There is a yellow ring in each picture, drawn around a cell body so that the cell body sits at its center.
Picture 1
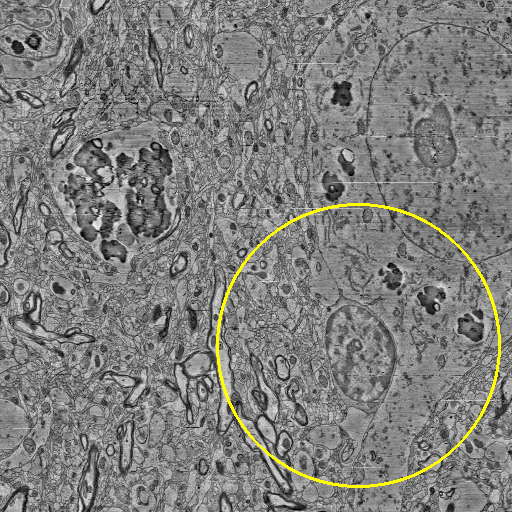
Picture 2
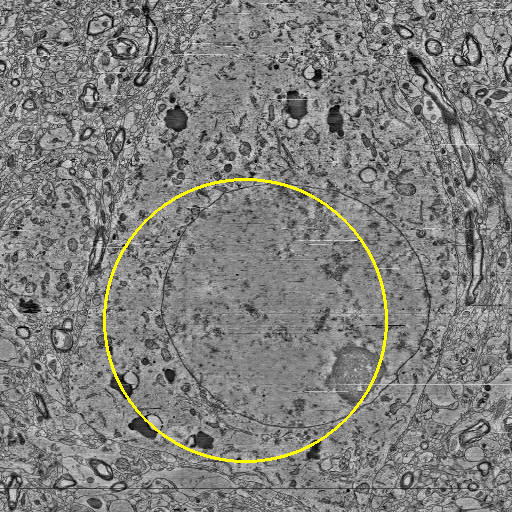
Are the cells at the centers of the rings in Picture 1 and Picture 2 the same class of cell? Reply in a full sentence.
No, the two cells are two classes of cell.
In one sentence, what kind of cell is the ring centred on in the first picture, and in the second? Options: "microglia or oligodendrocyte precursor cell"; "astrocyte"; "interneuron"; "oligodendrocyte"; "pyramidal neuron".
The cell at the centre of the second ring is a pyramidal neuron; the first ring's cell is an oligodendrocyte.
